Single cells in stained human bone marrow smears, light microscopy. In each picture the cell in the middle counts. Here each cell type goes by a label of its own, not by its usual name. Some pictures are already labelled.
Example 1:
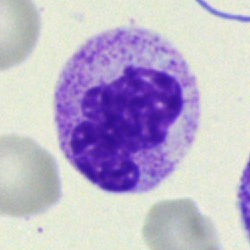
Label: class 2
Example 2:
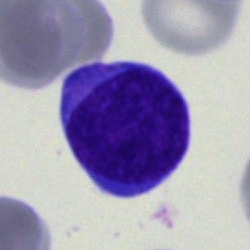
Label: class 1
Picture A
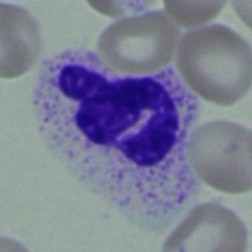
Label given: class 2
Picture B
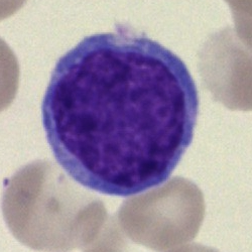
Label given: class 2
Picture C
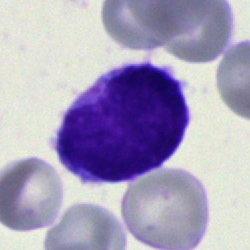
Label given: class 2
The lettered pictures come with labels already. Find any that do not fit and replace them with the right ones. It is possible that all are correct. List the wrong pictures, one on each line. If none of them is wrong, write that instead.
B: change class 2 to class 1
C: change class 2 to class 1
